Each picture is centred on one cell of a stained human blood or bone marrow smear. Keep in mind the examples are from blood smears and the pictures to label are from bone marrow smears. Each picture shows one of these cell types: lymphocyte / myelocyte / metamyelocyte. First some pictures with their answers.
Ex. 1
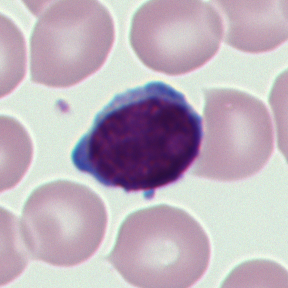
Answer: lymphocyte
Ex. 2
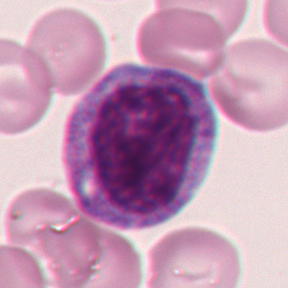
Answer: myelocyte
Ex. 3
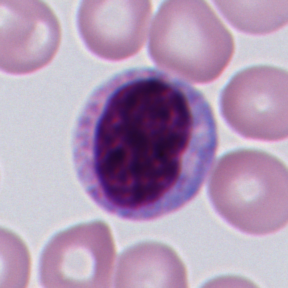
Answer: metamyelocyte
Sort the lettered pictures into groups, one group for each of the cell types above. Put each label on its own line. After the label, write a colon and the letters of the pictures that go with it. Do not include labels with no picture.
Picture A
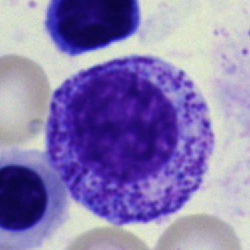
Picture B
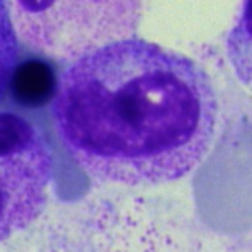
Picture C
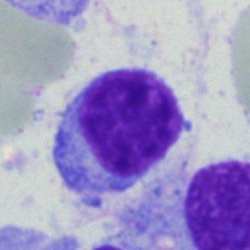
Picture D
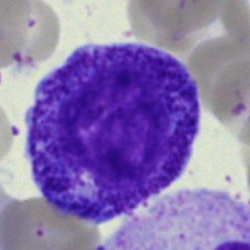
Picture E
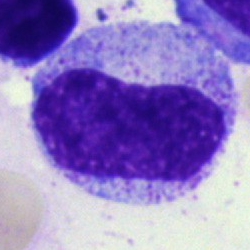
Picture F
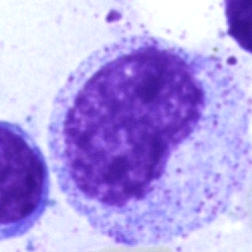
lymphocyte: C
myelocyte: A, D
metamyelocyte: B, E, F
